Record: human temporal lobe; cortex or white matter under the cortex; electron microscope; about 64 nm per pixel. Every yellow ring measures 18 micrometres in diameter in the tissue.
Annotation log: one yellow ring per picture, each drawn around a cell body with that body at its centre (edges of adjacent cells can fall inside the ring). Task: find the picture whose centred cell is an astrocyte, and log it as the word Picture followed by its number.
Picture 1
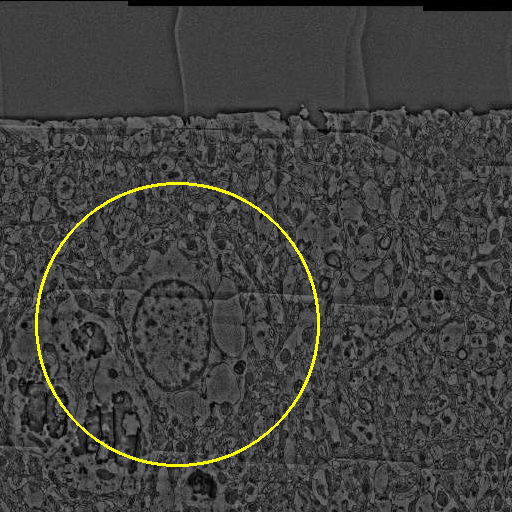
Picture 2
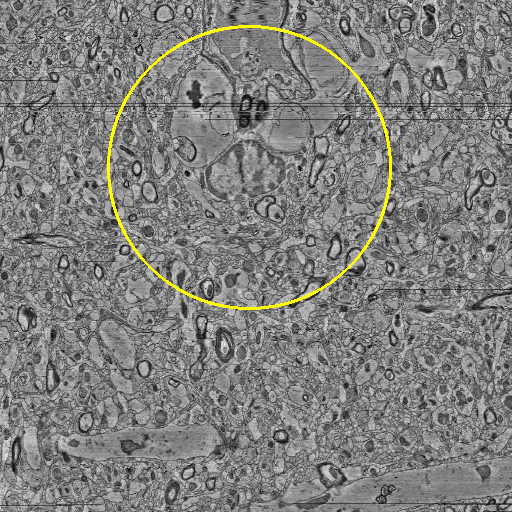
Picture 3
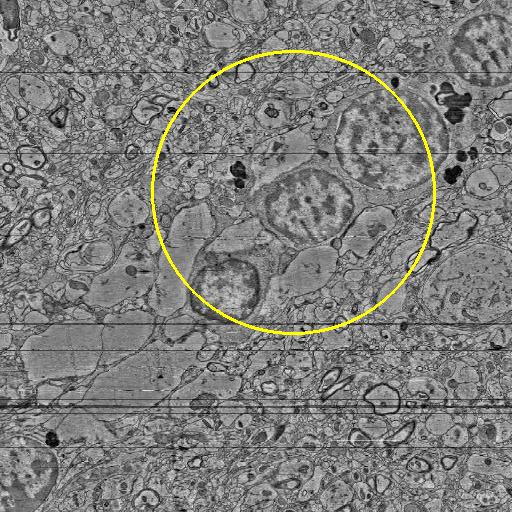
Picture 1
